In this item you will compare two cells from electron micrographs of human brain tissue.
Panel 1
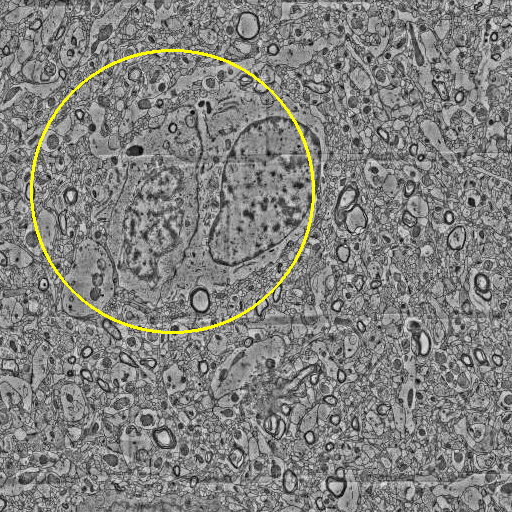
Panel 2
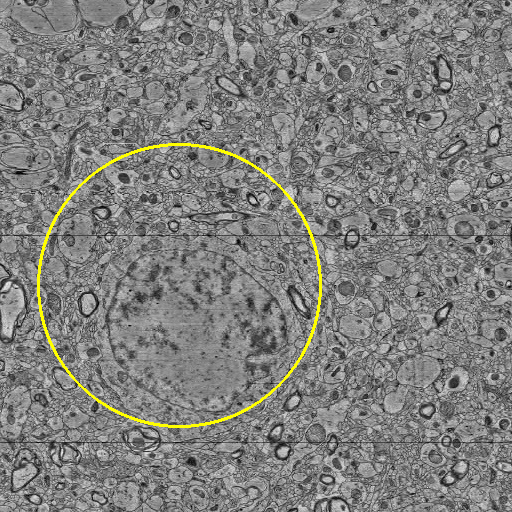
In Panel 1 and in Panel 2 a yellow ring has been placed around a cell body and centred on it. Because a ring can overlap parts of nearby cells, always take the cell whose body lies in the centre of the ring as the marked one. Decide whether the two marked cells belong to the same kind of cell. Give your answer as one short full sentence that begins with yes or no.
Yes, the two marked cells belong to the same kind of cell.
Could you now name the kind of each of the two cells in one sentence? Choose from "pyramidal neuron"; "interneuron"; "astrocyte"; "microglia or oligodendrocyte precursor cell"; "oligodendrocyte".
Both rings mark an interneuron, one in each picture.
